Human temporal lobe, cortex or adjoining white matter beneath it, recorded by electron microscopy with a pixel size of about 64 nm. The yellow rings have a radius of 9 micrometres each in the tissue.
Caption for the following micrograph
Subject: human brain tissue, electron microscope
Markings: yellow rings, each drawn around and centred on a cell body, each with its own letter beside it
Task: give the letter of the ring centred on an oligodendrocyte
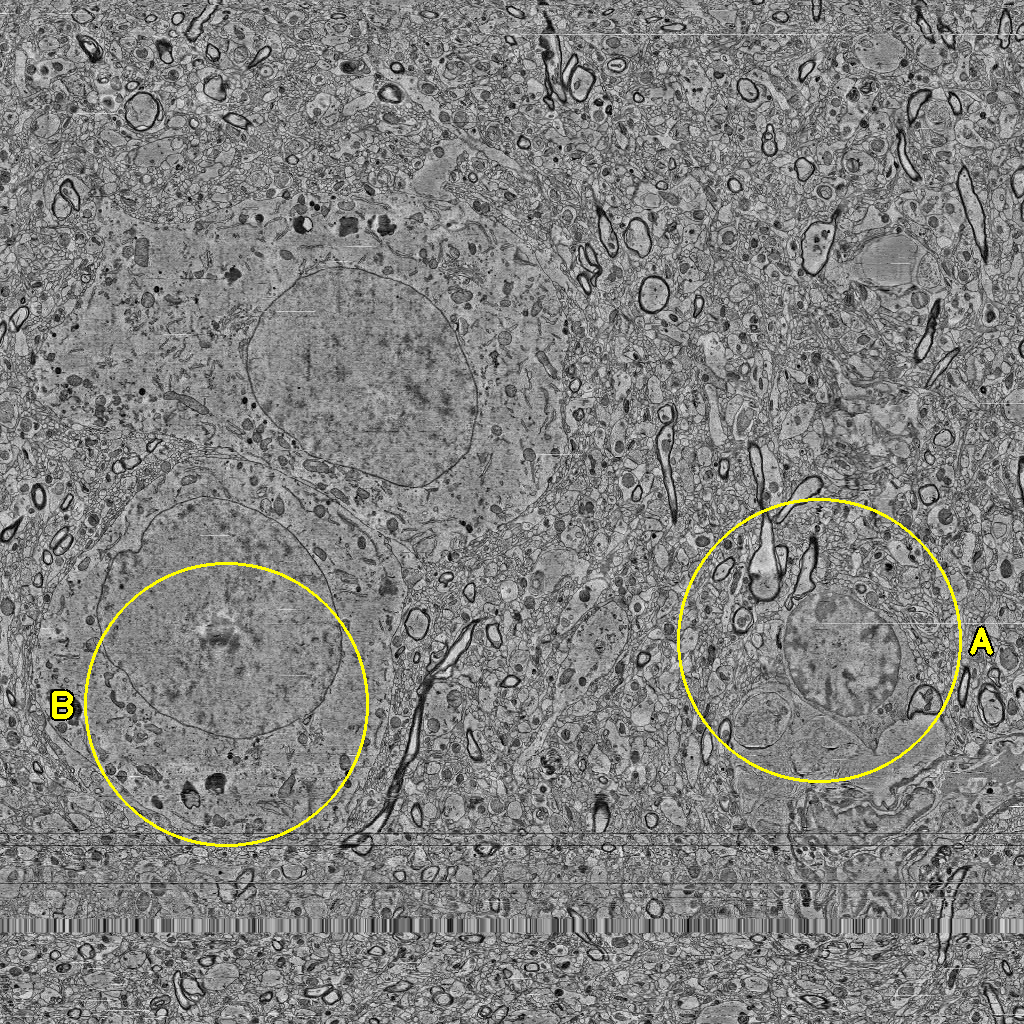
A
